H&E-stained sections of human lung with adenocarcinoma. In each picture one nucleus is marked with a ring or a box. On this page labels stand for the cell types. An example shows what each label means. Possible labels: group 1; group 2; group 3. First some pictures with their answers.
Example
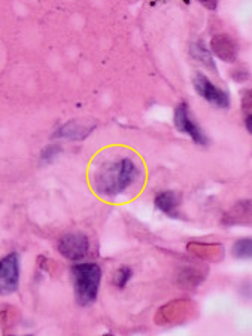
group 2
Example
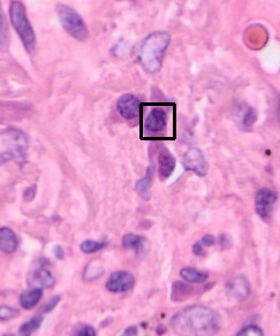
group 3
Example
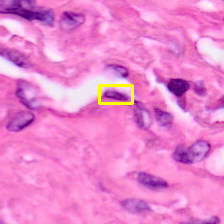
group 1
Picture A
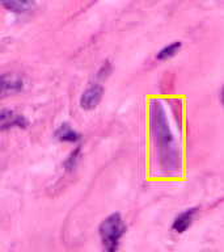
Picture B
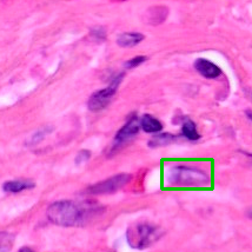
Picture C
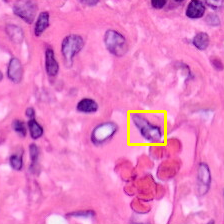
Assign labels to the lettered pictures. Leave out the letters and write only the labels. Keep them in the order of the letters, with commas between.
group 1, group 1, group 1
